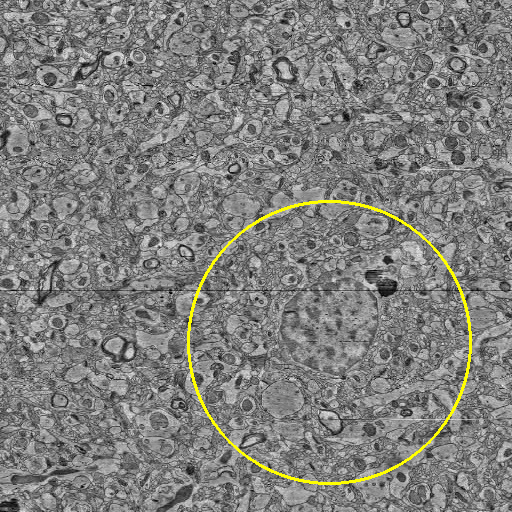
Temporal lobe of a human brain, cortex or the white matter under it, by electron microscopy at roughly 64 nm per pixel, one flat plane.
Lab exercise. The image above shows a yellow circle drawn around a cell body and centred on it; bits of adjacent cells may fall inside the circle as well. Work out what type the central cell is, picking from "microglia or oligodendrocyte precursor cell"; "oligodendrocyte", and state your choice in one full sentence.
In the image above, the cell at the centre of the yellow circle is an oligodendrocyte.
